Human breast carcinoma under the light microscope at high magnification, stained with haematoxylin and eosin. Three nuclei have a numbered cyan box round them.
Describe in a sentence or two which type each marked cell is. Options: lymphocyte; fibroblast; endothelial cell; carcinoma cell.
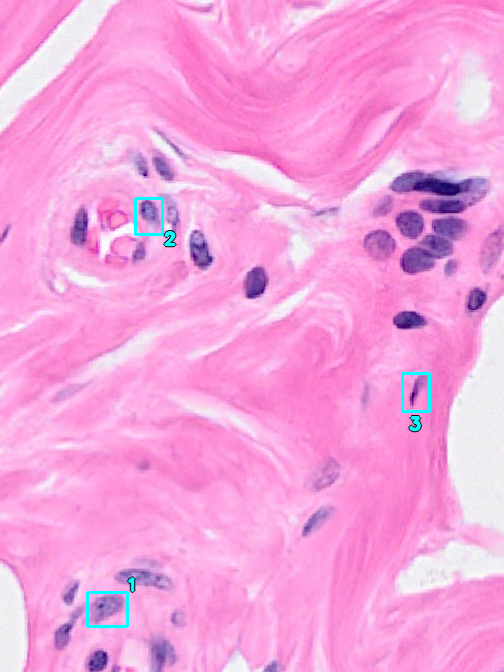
Cell 1 is an endothelial cell, cell 2 is an endothelial cell and cell 3 is a fibroblast.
